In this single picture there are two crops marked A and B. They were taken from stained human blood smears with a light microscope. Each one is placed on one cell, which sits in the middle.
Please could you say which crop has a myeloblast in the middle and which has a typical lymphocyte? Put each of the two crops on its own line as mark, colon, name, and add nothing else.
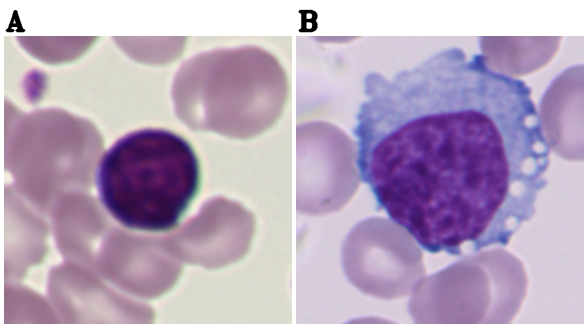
A: typical lymphocyte
B: myeloblast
